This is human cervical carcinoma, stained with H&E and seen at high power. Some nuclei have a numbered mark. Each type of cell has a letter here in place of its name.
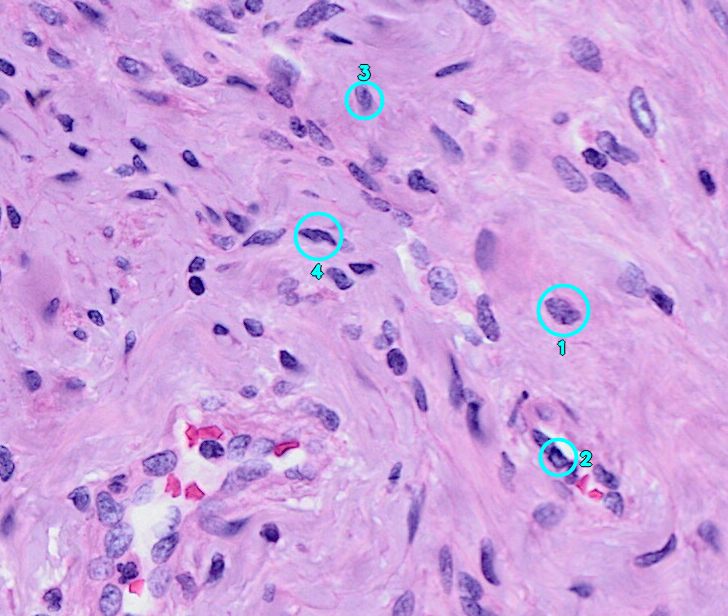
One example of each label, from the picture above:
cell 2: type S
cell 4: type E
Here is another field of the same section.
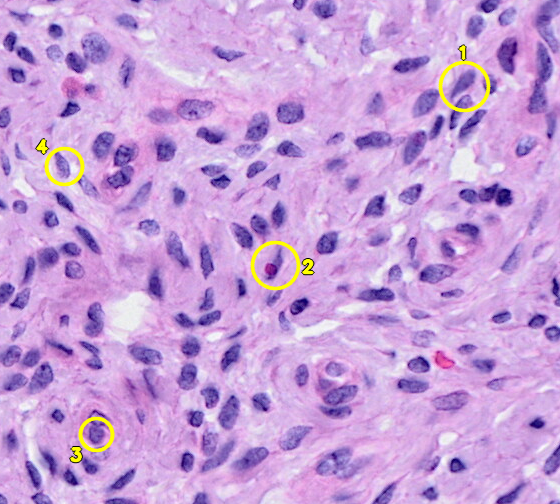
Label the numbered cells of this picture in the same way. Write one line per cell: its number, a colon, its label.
1: type E
2: type E
3: type S
4: type E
